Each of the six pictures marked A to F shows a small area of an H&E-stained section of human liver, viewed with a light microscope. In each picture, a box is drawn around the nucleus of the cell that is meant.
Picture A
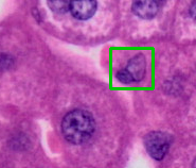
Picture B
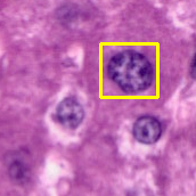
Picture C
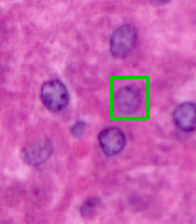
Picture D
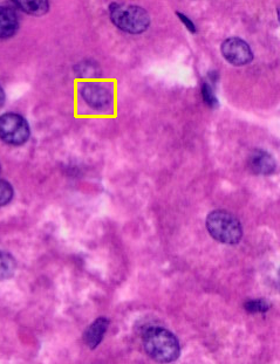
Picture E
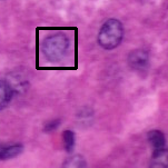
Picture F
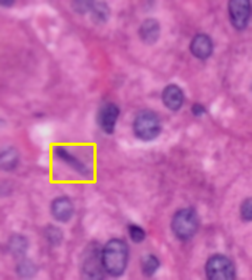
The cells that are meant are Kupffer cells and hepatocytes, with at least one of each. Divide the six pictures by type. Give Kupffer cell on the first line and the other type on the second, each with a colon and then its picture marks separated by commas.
Kupffer cell: A, F
hepatocyte: B, C, D, E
